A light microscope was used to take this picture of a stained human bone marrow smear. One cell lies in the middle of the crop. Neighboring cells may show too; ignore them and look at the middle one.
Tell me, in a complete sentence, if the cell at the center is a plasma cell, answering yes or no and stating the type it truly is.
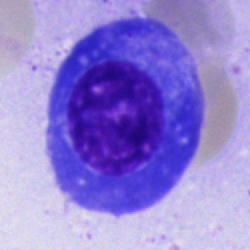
Yes, that is a plasma cell in the middle of the crop.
